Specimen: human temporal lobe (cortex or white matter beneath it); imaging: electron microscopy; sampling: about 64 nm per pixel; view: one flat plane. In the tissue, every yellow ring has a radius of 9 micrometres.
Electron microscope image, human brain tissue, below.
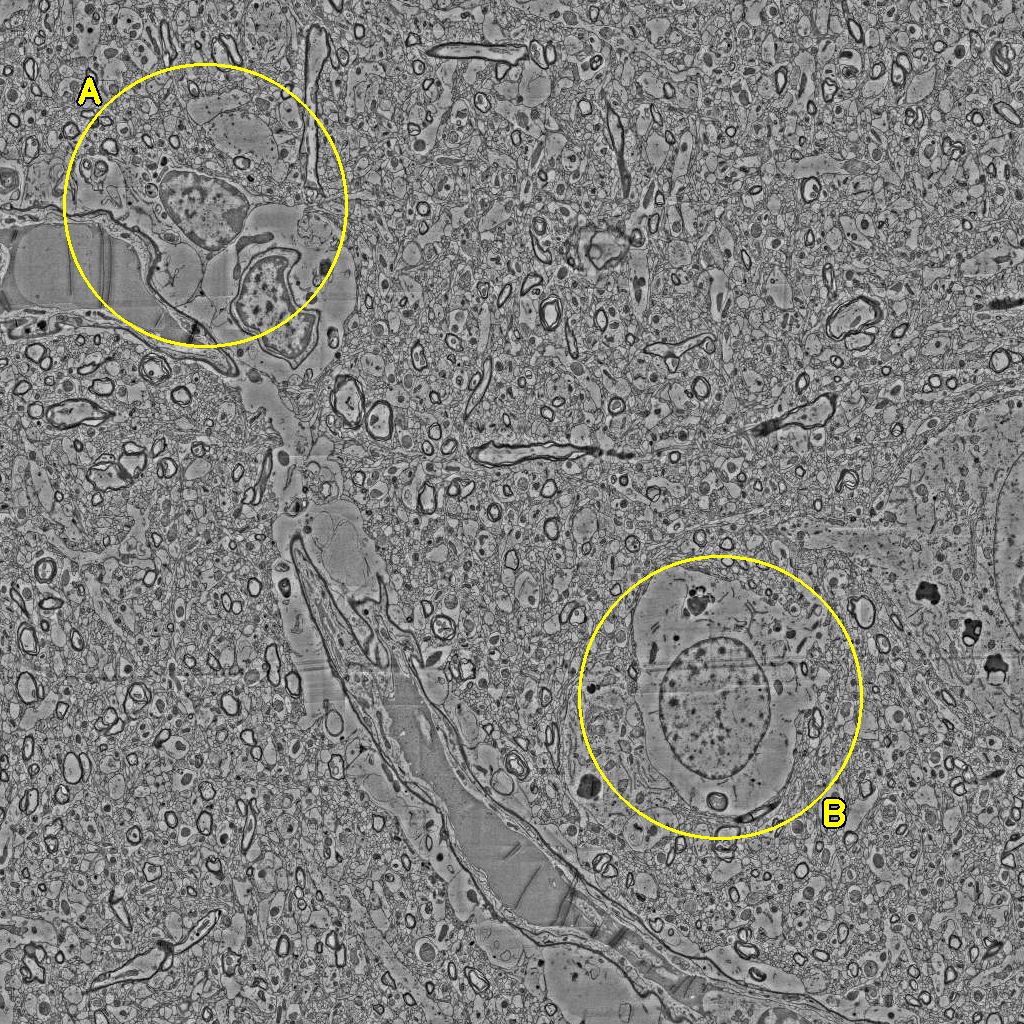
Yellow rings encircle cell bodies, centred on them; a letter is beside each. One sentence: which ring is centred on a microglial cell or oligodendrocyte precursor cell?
It is ring A.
